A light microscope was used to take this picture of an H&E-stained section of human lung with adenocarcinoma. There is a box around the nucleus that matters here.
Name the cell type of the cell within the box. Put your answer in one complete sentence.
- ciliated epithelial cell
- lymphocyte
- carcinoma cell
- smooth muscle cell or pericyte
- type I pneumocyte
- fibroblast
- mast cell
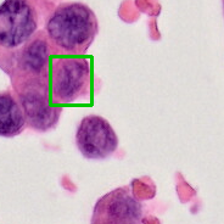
In the tissue under study, the cell within the box is a carcinoma cell.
